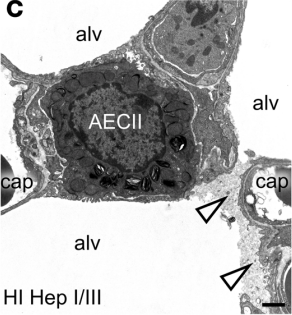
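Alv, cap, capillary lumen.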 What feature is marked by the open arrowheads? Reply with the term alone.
electron-dense alveolar liquid film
